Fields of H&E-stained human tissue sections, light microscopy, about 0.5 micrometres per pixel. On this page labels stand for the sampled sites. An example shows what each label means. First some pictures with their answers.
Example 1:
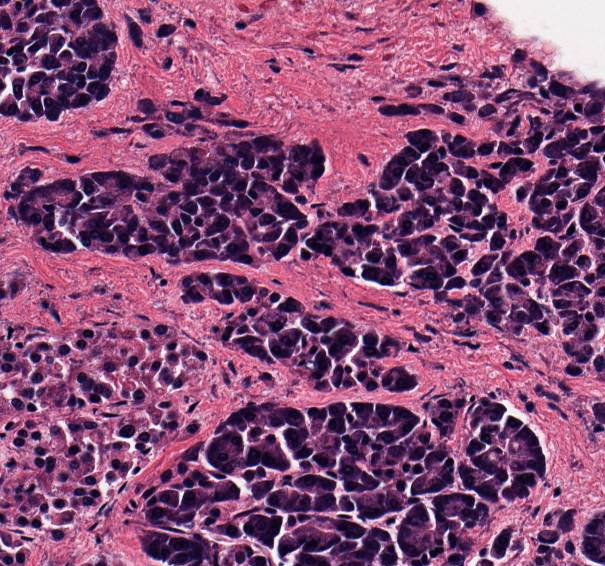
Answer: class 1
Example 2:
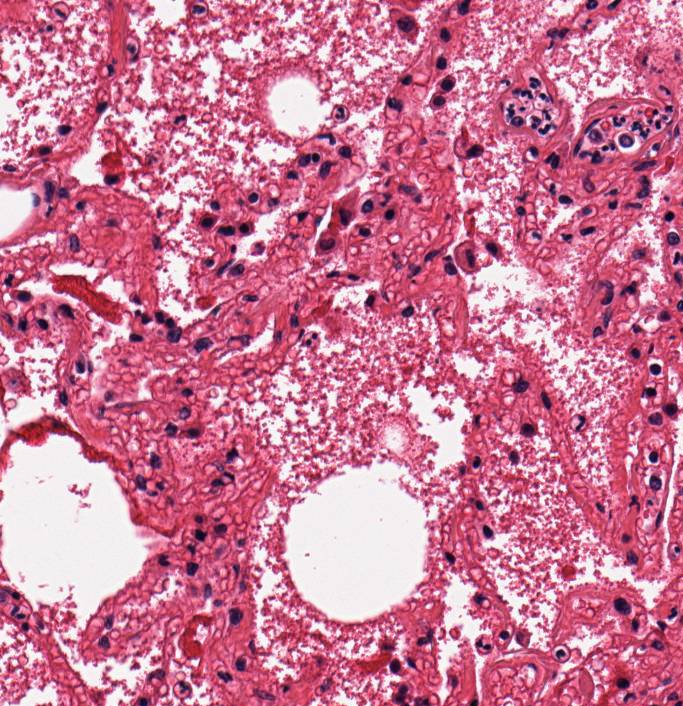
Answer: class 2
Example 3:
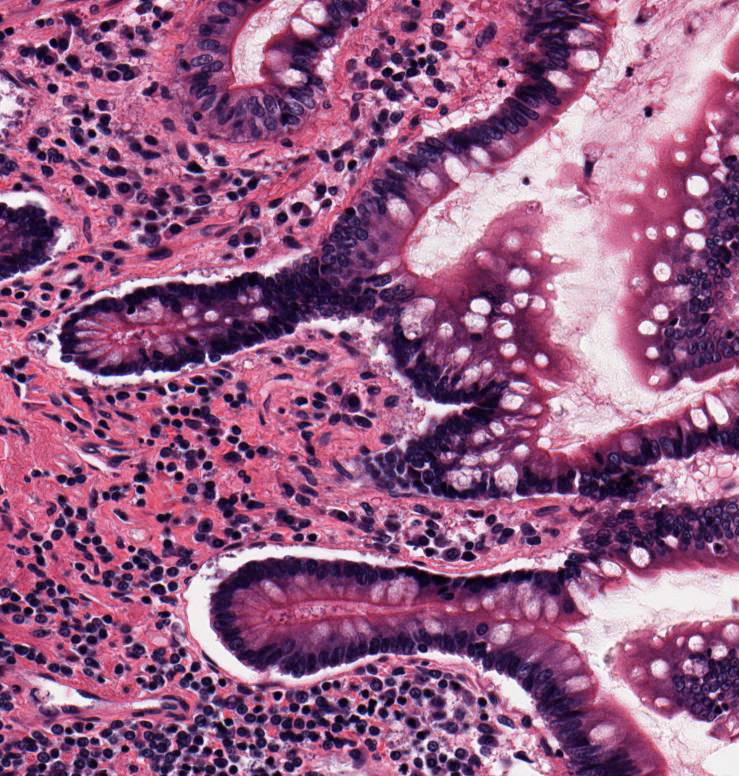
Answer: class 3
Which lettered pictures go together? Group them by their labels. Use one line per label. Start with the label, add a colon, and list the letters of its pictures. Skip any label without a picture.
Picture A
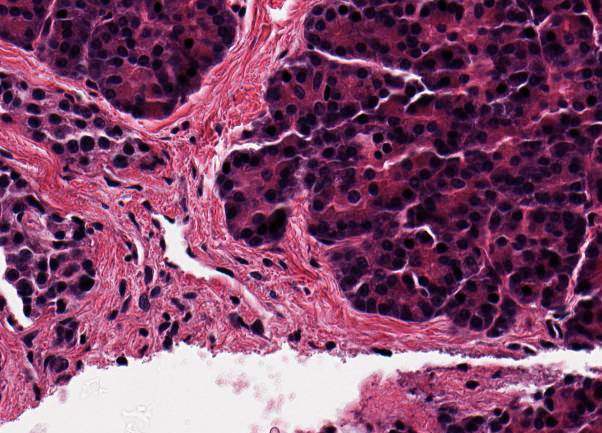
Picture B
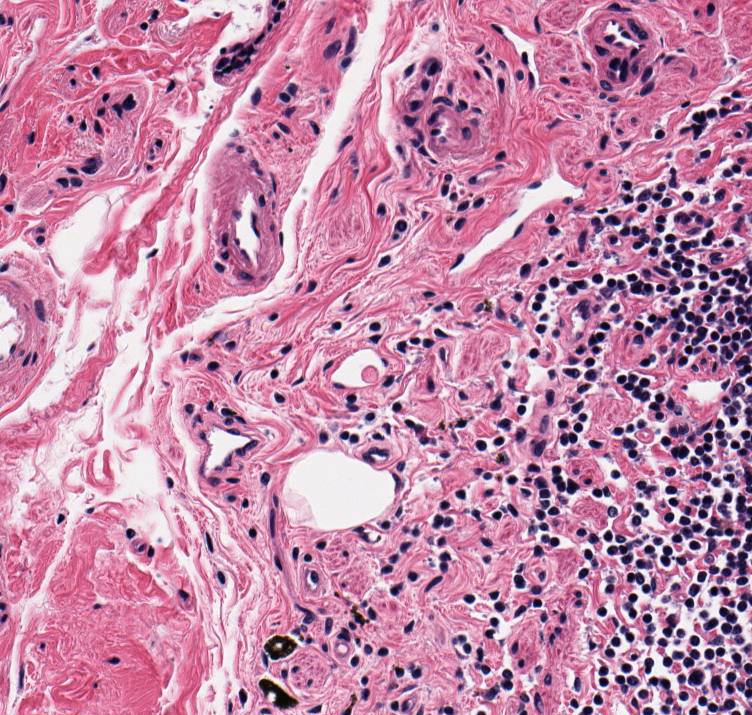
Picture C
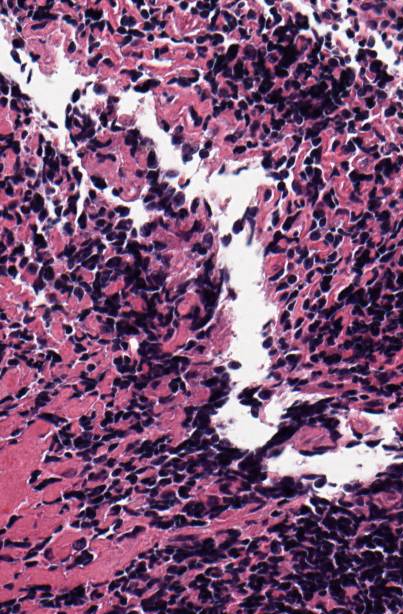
class 1: A
class 3: B, C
